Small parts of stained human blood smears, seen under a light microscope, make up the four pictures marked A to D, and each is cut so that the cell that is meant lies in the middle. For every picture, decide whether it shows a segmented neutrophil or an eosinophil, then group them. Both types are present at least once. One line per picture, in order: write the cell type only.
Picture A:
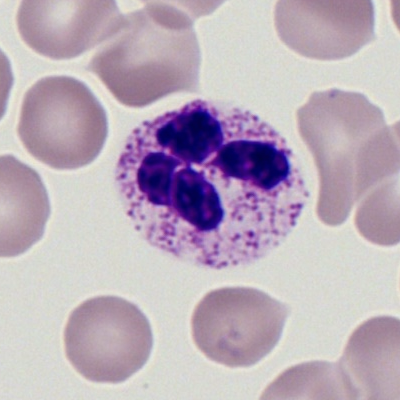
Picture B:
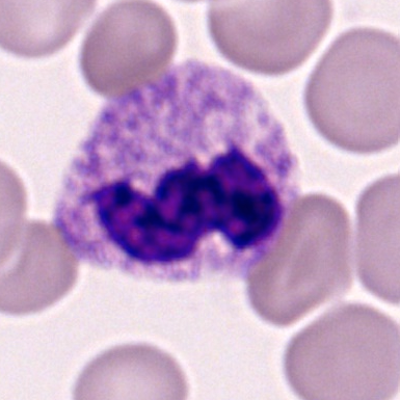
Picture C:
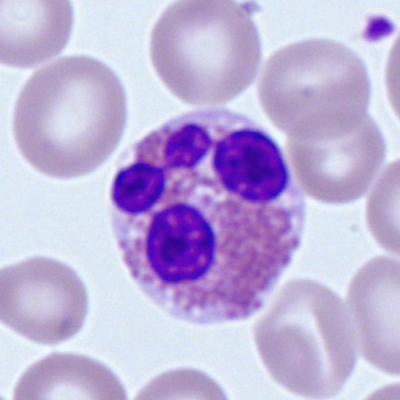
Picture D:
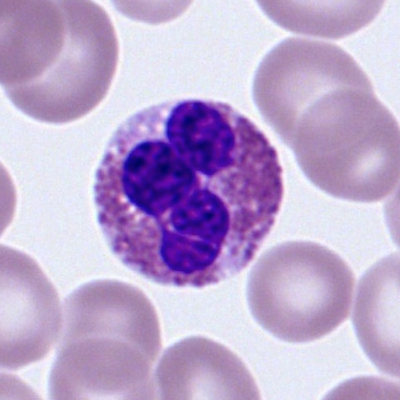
segmented neutrophil
segmented neutrophil
eosinophil
eosinophil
